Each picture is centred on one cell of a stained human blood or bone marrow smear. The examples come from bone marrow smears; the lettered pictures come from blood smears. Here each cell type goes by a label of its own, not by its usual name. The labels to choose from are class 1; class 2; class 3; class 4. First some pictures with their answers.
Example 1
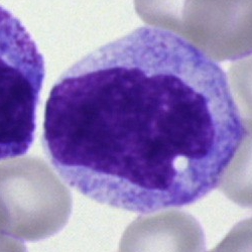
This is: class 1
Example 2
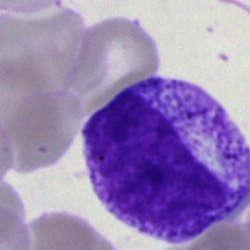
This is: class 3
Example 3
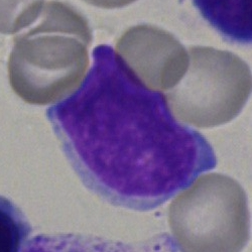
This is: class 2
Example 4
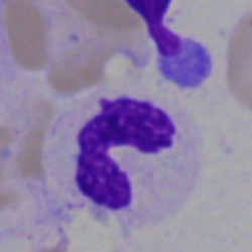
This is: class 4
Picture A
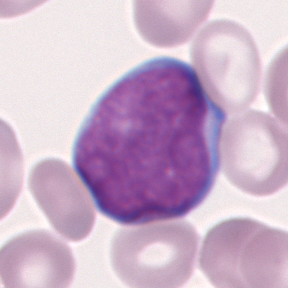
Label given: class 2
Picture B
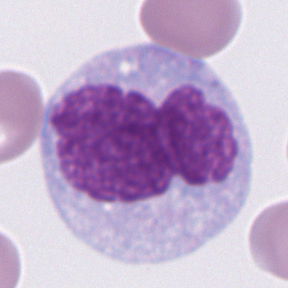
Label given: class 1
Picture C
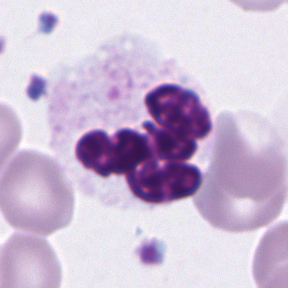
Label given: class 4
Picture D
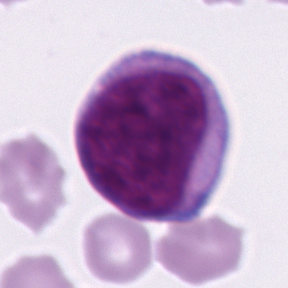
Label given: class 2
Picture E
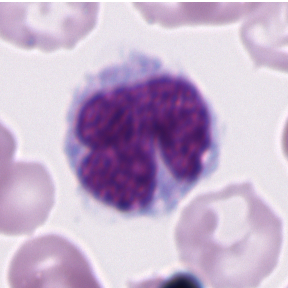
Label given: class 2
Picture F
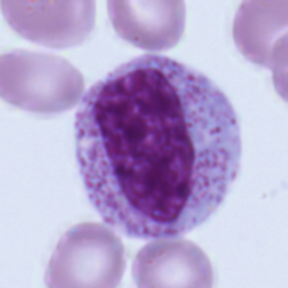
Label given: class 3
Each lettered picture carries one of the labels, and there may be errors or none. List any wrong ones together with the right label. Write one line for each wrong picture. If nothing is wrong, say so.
E: change class 2 to class 1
